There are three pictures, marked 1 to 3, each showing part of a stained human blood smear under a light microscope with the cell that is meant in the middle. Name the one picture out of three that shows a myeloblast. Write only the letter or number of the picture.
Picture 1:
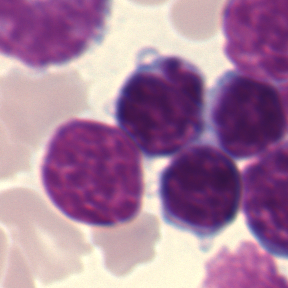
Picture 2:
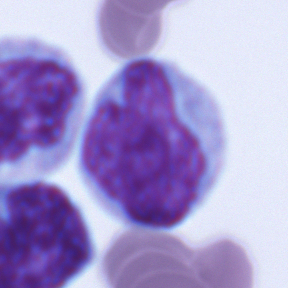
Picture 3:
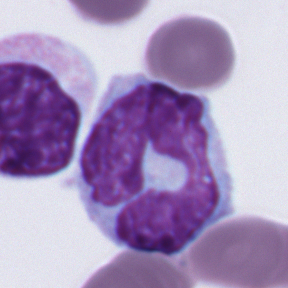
1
